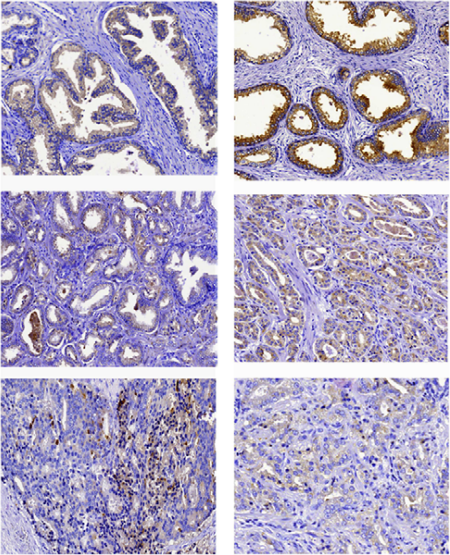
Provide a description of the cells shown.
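Six fields of prostate tissue in three rows. The top row shows large glands with wide open lumens and folded, papillary inner borders, lined by epithelium whose cytoplasm is stained brown, sometimes strongly, set in pale blue fibromuscular stroma: benign glands. The middle row shows many smaller, crowded glands with small round lumens packed in the stroma, their epithelium more weakly and patchily brown: well-formed cancer glands.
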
